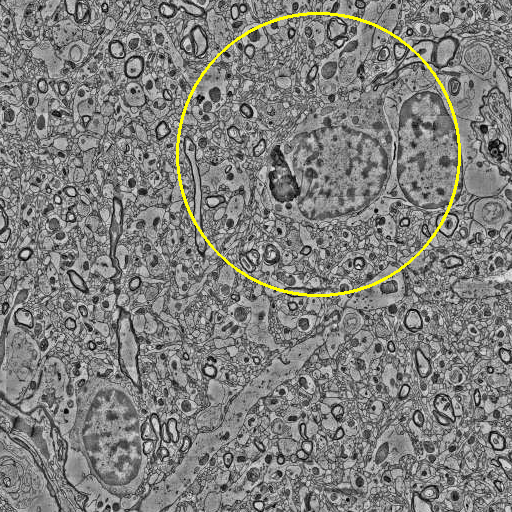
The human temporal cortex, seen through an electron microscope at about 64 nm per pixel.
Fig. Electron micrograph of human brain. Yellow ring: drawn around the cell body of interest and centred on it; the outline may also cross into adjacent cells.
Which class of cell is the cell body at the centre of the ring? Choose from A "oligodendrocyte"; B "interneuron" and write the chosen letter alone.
A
